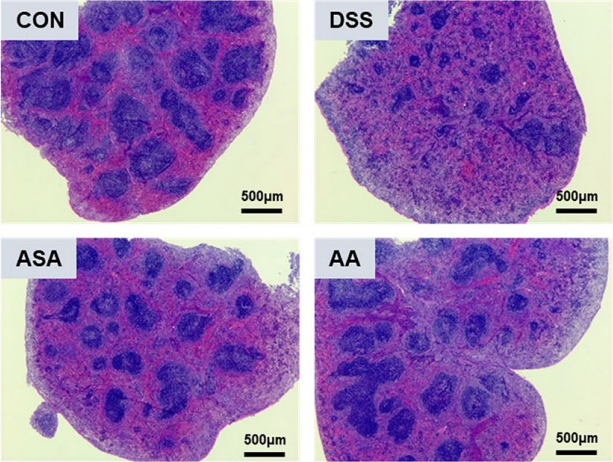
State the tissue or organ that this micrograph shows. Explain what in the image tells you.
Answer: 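Rounded dark purple clusters of densely packed nuclei lie scattered through the section. The clusters sit in a pink-red, looser parenchyma. A thin capsule bounds each section. The answer: spleen tissue.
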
